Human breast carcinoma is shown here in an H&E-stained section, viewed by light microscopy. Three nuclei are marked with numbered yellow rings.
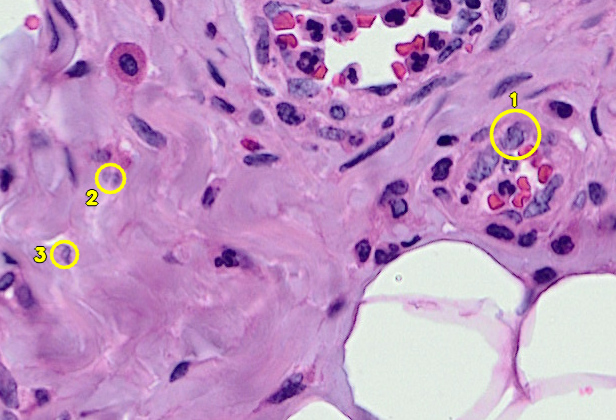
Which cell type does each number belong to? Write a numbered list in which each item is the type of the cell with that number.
1. endothelial cell
2. fibroblast
3. fibroblast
